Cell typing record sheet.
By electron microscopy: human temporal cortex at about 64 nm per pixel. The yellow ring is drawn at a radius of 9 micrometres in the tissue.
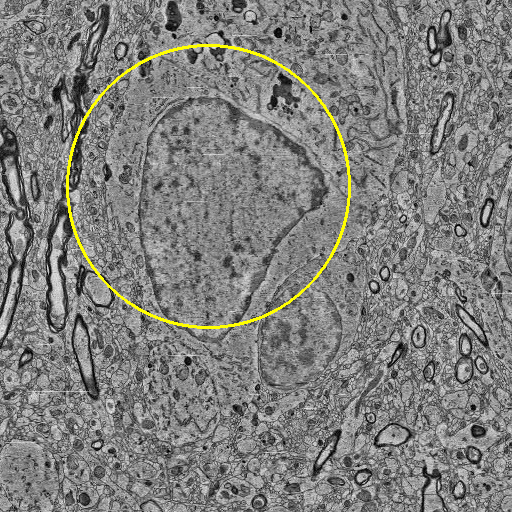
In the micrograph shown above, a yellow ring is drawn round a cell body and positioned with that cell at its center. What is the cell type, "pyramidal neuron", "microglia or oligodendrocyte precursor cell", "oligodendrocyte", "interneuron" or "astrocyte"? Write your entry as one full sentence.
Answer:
The cell body at the center of the ring belongs to a microglial cell or oligodendrocyte precursor cell.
